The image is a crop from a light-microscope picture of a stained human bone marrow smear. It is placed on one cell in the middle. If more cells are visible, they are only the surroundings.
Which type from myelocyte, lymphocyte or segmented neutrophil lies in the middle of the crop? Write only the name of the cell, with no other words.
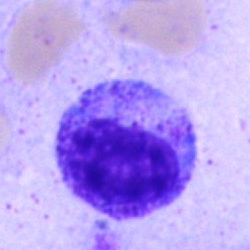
myelocyte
